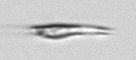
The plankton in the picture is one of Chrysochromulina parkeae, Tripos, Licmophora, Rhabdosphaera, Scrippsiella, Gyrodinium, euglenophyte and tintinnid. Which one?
euglenophyte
